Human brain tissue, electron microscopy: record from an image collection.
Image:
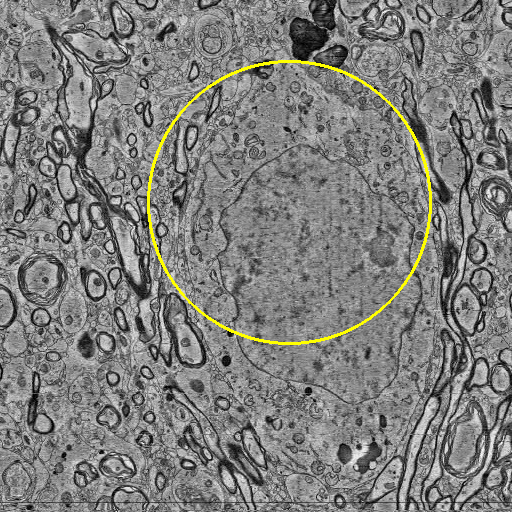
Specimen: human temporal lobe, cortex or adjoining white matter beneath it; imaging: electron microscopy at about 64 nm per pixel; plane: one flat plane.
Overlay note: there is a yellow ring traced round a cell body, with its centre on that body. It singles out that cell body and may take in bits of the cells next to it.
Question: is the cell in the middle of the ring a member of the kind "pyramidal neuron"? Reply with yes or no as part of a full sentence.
Yes, the image's ringed cell, the one at the ring's centre, is a member of that kind.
